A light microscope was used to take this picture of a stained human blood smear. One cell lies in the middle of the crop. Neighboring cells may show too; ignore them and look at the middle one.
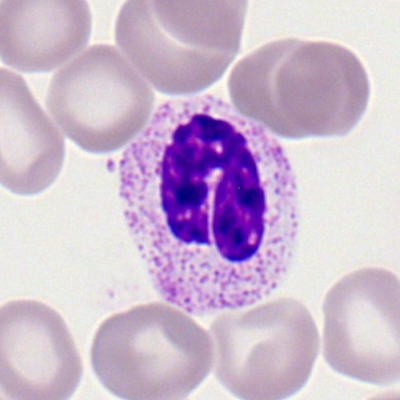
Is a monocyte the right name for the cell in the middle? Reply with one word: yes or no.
no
